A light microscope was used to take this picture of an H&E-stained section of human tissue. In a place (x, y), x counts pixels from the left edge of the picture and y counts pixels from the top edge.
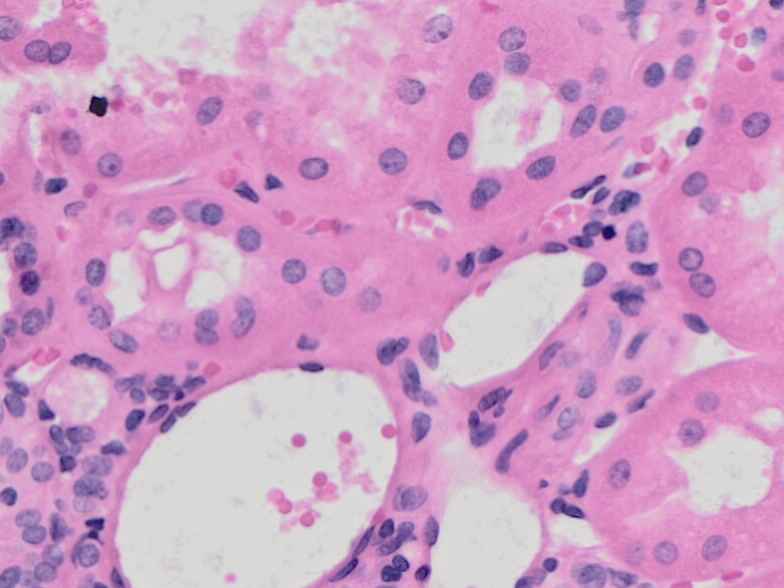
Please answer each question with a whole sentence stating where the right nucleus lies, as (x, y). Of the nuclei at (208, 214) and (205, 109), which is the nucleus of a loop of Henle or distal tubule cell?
Of these two nuclei, it is the one at (208, 214) that belongs to a loop of Henle or distal tubule cell.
